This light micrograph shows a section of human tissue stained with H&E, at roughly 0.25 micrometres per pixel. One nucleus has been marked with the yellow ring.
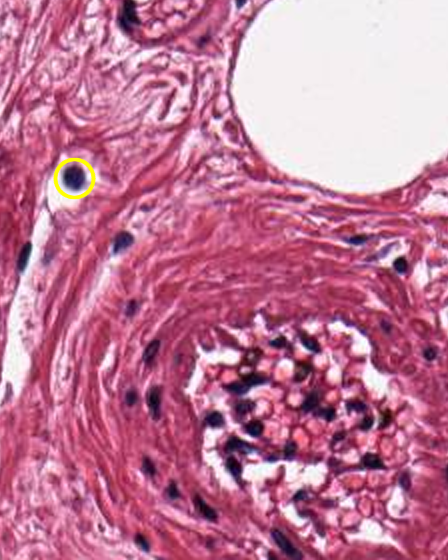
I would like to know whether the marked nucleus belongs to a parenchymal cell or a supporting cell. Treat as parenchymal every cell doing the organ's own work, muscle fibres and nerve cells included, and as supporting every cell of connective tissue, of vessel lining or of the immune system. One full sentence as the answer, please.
A supporting cell is what the marked nucleus belongs to.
